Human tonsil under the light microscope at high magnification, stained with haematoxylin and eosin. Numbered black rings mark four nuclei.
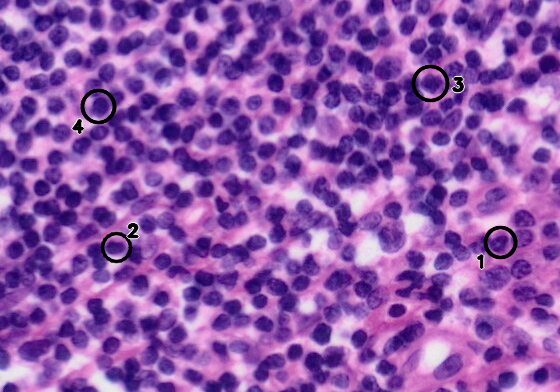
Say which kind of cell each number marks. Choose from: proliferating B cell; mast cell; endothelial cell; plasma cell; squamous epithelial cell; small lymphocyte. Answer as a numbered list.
1. plasma cell
2. small lymphocyte
3. small lymphocyte
4. small lymphocyte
